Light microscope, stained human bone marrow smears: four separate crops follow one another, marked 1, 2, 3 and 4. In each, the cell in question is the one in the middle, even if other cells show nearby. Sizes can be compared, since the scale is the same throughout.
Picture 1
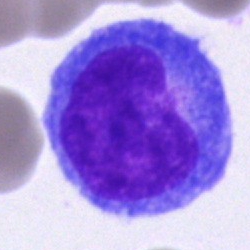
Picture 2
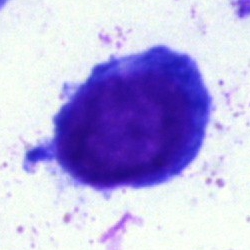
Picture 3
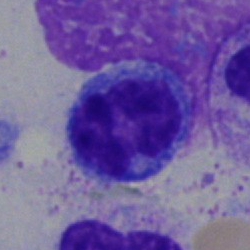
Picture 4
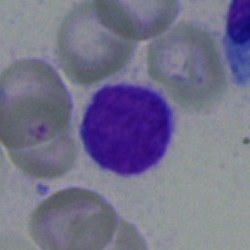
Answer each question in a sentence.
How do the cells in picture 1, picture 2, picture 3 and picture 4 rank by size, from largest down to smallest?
Largest first: 1, 2, 3, 4.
